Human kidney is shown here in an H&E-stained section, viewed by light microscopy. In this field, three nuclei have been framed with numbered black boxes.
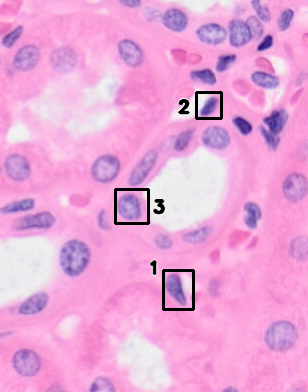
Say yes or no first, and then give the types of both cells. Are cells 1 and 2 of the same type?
Yes, both are endothelial cells.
